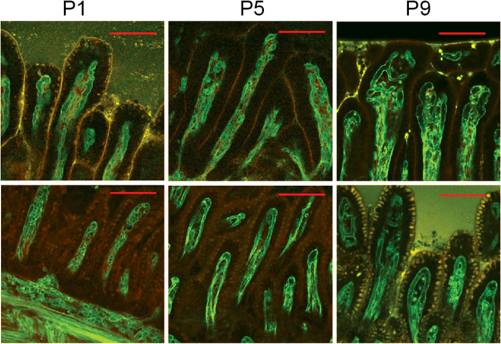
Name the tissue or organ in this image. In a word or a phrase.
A: Intestinal villi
